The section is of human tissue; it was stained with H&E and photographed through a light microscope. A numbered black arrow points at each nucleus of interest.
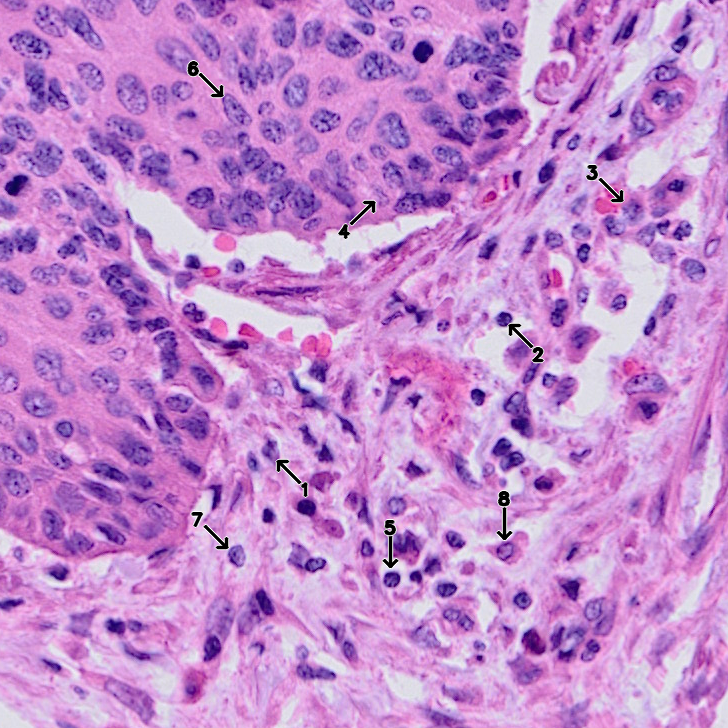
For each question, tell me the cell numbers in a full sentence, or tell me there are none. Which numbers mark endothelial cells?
Of the numbered nuclei, only the one labelled 3 belongs to an endothelial cell.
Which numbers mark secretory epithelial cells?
None among the numbered cells are secretory epithelial cells.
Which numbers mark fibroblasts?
Only cell 1 is a fibroblast; none of the other numbered cells is.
